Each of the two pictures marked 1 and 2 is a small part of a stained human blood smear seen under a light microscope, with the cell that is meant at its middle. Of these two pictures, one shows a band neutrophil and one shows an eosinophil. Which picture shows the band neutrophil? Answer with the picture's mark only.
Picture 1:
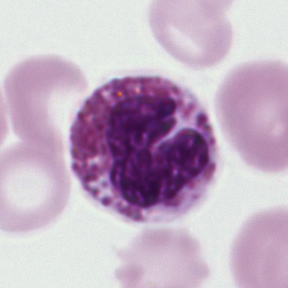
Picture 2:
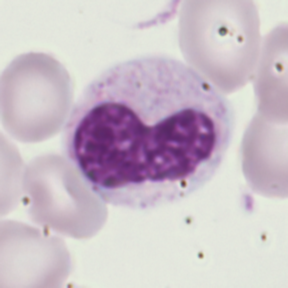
2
